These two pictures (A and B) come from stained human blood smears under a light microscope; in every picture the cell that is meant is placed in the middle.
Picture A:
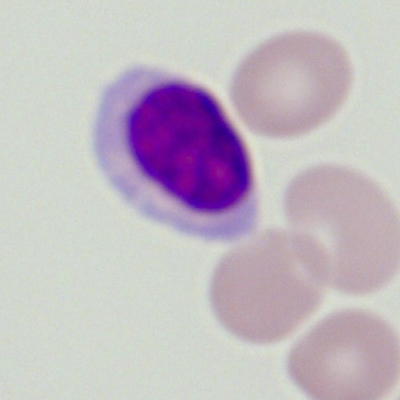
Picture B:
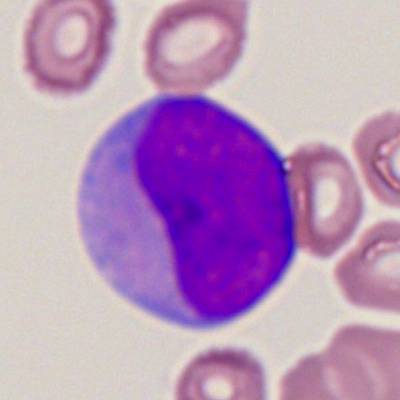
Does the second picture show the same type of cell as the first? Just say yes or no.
no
